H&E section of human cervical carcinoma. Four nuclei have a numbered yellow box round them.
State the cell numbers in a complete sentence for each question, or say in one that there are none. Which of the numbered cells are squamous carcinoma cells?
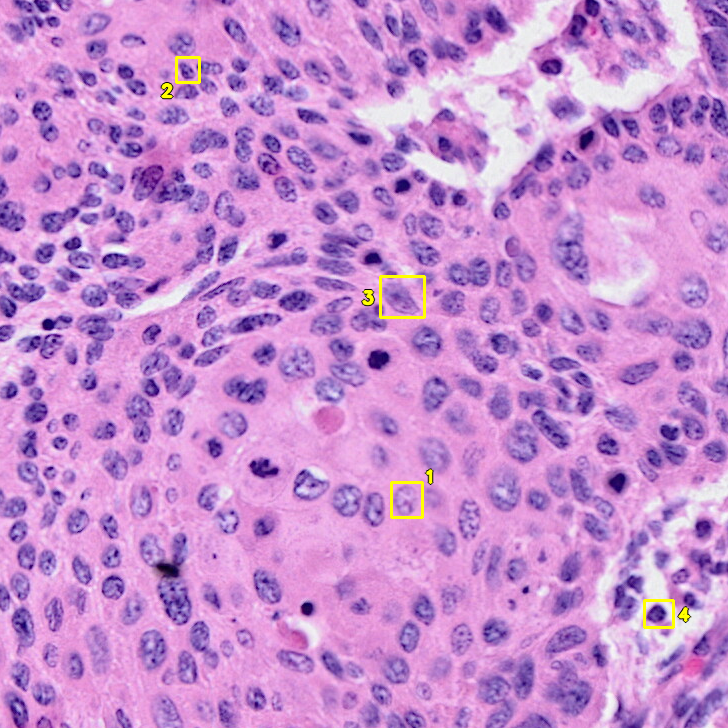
In this section, the cells numbered 1, 2 and 3 are squamous carcinoma cells.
